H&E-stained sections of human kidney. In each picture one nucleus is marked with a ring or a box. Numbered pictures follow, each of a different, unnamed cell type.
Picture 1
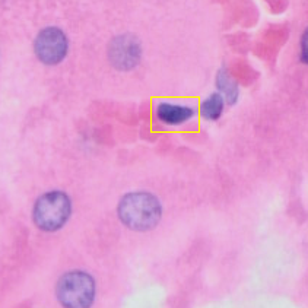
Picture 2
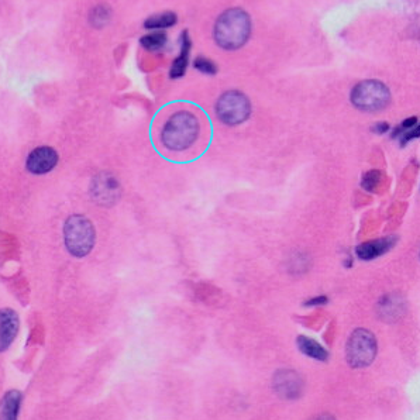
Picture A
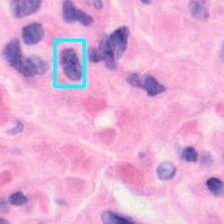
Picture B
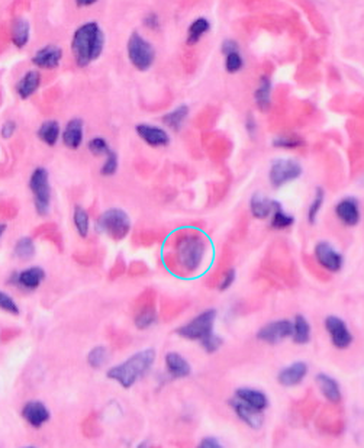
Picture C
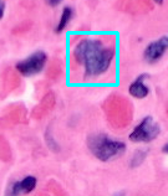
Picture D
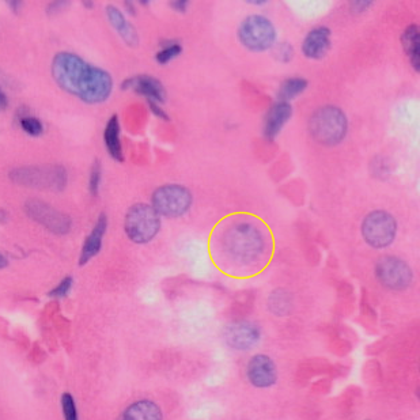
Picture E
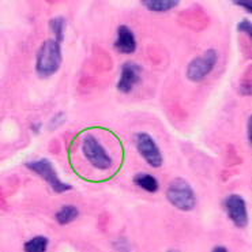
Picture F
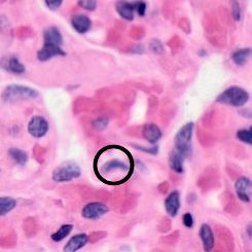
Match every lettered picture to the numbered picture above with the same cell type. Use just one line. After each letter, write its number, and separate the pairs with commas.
A 1, B 1, C 1, D 2, E 1, F 1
